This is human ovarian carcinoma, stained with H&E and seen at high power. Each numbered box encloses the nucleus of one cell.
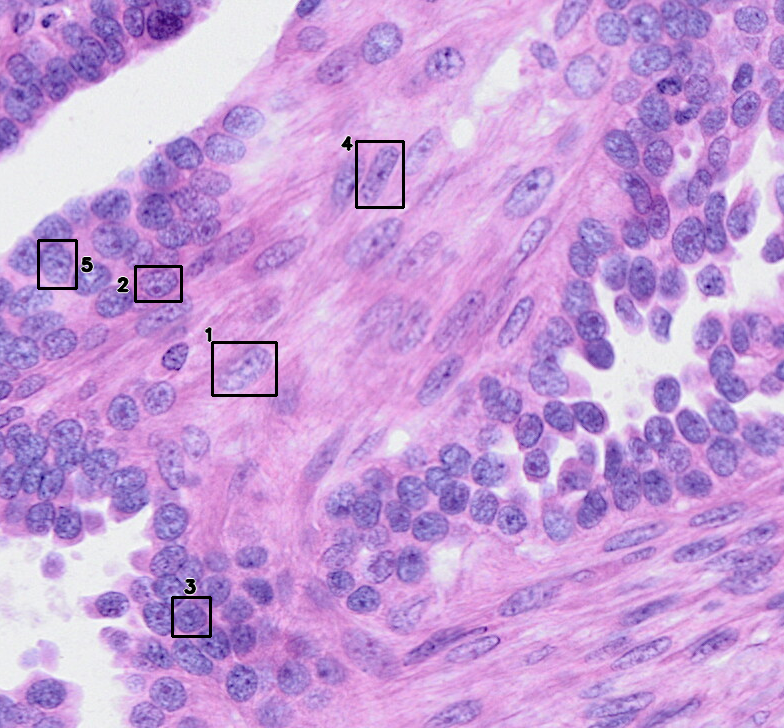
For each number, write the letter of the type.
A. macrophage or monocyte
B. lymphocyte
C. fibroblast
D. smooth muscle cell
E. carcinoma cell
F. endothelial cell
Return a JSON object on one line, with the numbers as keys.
{"1": "C", "2": "E", "3": "E", "4": "C", "5": "E"}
